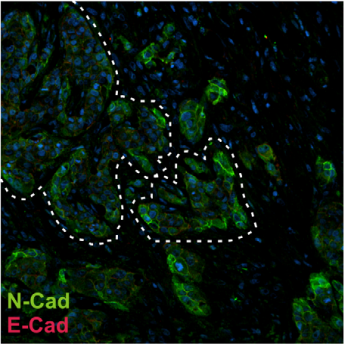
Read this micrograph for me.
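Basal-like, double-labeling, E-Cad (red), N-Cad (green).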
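These are breast cancer cells in nests, outlined by dashed lines, with blue nuclei and bright green labelling at their borders and in their cytoplasm. Between the clusters lies darker stroma with smaller, scattered nuclei. Red labelling is hardly to be seen anywhere.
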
